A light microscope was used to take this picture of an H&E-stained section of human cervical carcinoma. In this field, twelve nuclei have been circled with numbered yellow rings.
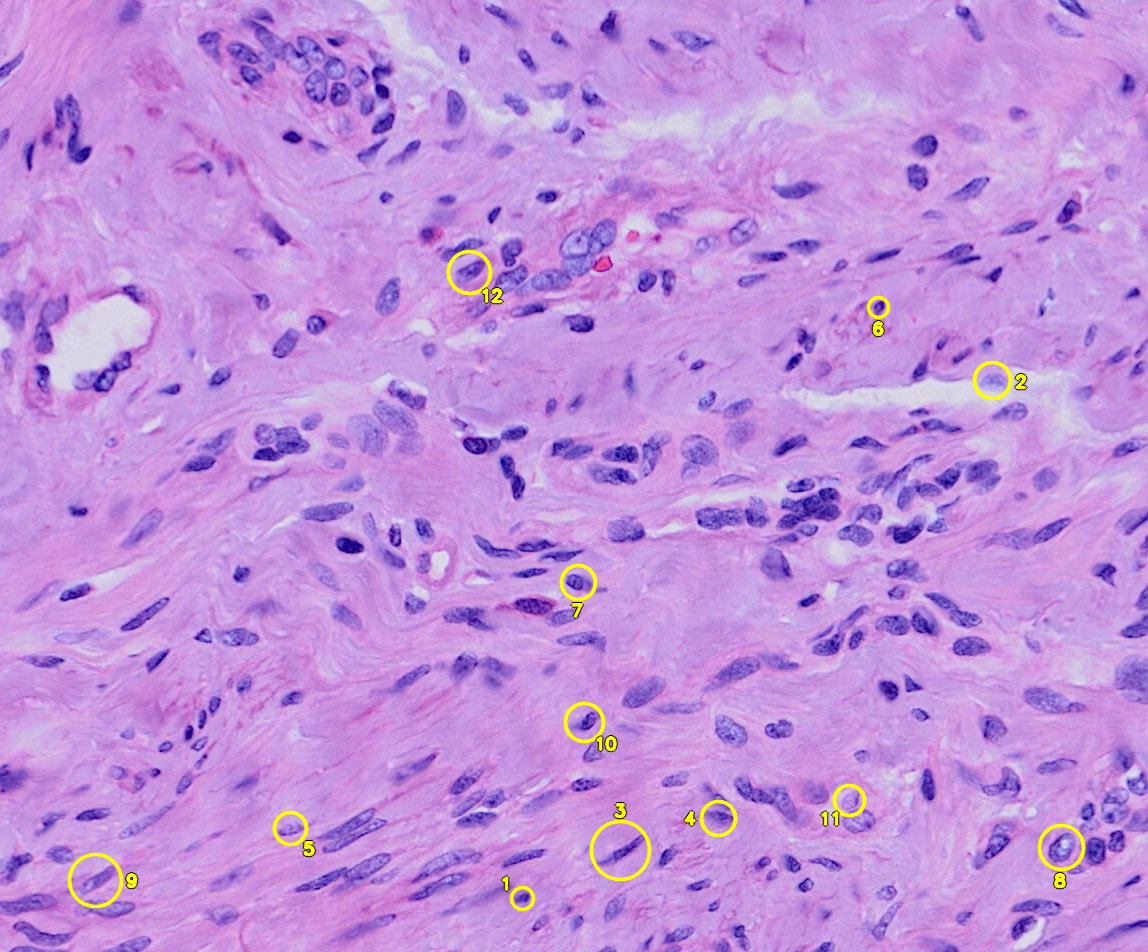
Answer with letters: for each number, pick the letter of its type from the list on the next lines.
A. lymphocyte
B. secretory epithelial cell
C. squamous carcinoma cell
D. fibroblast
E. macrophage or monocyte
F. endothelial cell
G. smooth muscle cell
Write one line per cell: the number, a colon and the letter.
1: D
2: D
3: D
4: D
5: D
6: G
7: D
8: F
9: G
10: D
11: F
12: G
